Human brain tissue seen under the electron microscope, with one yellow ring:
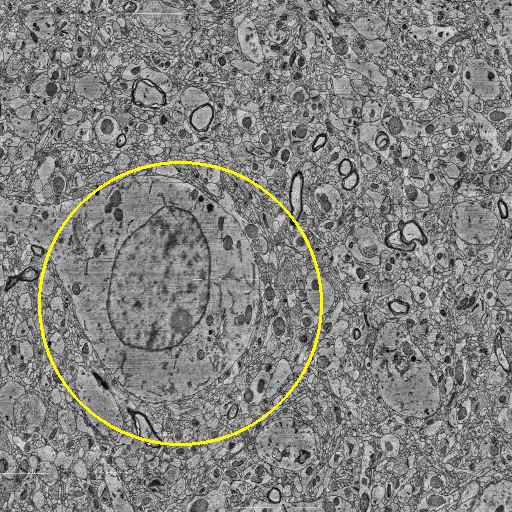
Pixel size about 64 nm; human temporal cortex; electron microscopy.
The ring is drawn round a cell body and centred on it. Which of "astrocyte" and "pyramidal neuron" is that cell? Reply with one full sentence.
The picture shows a pyramidal neuron at the very centre of the yellow ring.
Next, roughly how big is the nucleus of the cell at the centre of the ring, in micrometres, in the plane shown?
About 10 by 7 micrometers for the nucleus, in this plane.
